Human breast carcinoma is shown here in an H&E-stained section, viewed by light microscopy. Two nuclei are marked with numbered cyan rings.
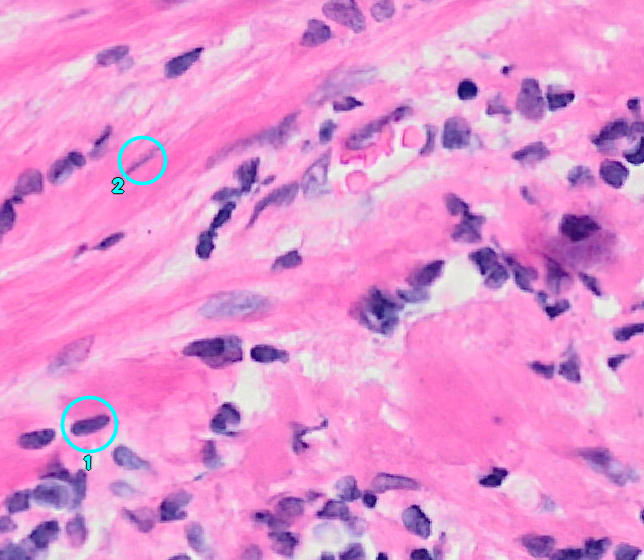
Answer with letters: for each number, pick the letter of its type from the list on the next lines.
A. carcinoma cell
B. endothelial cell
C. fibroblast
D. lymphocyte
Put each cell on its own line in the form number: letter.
1: D
2: C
